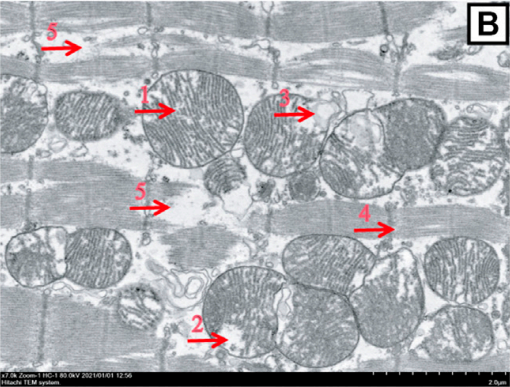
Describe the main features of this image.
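This electron micrograph of heart muscle shows rows of mitochondria lying between bands of striated myofibrils with regularly spaced Z-lines. Between the mitochondria are clear spaces holding small pale membrane-bound vesicles. In places the myofibril bands look washed out, with faint striation and light gaps where filaments seem lost. The overall picture is one of swollen mitochondria and loosened, partly dissolved contractile filaments.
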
